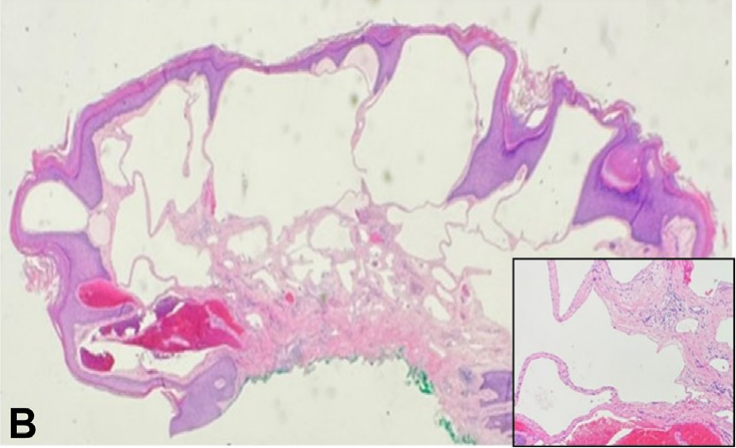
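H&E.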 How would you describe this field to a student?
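This is skin whose dermis holds large, dilated, thin-walled vascular channels like lymphatics. Thin pink septa branch between them. The purple epidermis covers the top and sends thick tongues down between and around the spaces, making collarettes at the sides of the lesion. Some channels at the lower left are filled with bright red material, probably blood.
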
